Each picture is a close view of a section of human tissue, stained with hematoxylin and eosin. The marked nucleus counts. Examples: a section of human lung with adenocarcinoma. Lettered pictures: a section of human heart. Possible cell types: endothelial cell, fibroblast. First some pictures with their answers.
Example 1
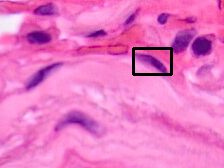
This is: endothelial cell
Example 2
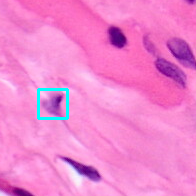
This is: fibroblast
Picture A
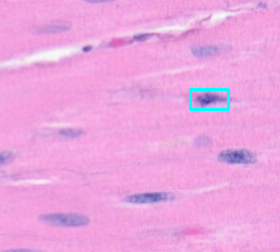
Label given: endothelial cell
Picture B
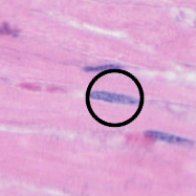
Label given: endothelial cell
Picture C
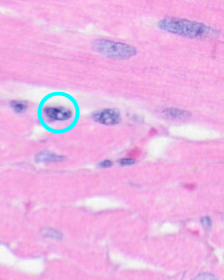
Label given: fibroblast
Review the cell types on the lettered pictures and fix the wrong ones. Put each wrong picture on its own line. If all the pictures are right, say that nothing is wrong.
B: change endothelial cell to fibroblast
